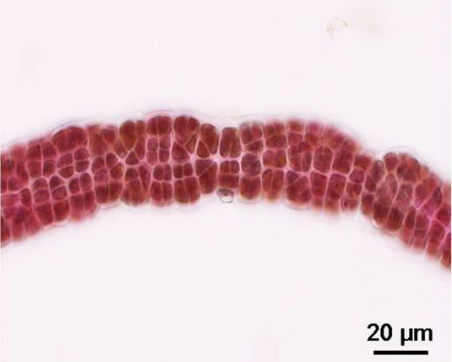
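A curved, multiseriate filament in which the vegetative cells have been divided up into many small reproductive cells, all deep magenta-red. The small cells are rounded-rectangular with dense pigmented contents and lie closely packed in regular groups, often in twos and fours, several cells across the width of the filament. Thin pale walls separate neighbouring cells, and a thin clear sheath runs along the outer margins.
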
